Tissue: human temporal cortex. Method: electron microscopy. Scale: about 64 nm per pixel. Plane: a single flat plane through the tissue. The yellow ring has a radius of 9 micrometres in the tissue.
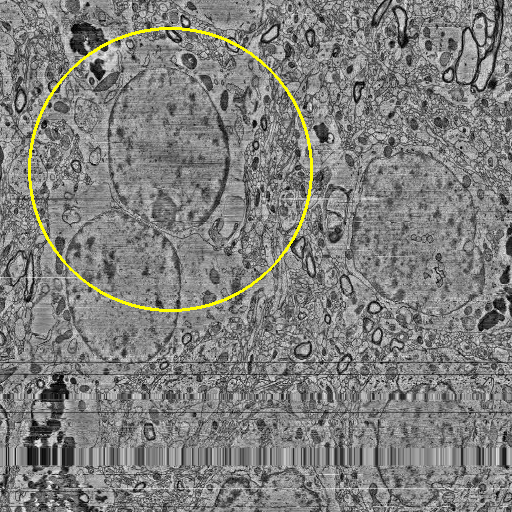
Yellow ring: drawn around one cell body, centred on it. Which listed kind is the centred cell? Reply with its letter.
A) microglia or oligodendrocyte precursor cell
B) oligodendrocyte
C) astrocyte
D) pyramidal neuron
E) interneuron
C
